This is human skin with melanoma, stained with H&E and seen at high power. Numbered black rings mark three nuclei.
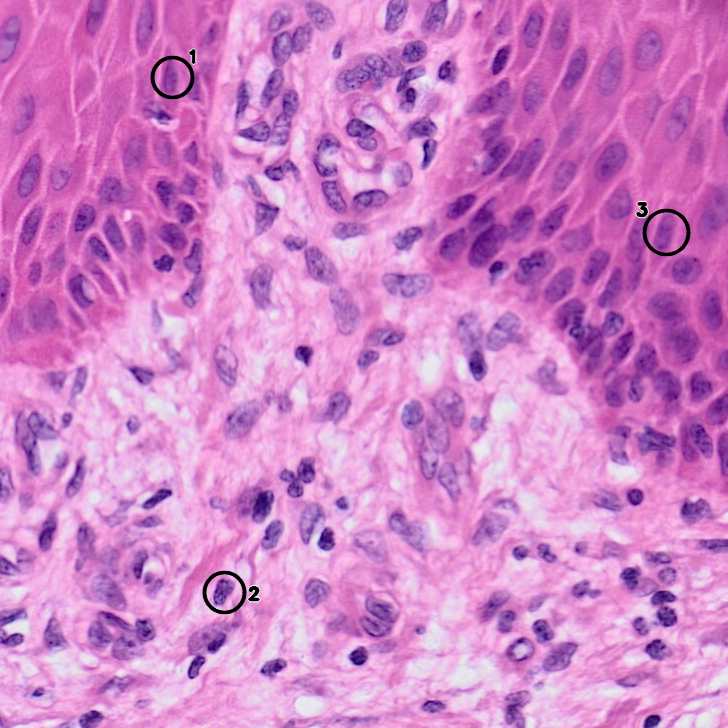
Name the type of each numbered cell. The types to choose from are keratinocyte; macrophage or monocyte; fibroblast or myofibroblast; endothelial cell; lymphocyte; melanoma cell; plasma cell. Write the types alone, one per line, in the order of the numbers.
keratinocyte
lymphocyte
keratinocyte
